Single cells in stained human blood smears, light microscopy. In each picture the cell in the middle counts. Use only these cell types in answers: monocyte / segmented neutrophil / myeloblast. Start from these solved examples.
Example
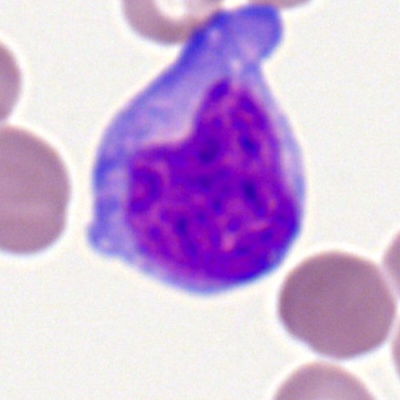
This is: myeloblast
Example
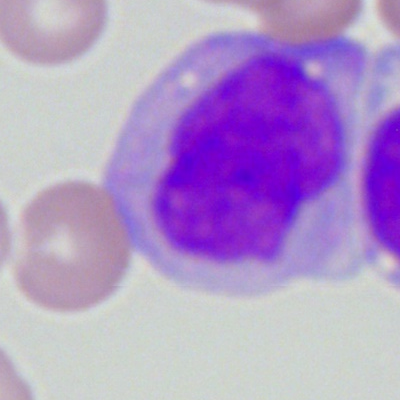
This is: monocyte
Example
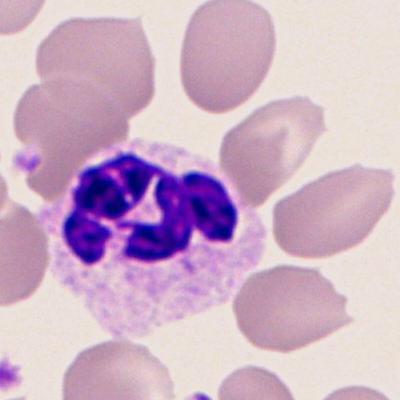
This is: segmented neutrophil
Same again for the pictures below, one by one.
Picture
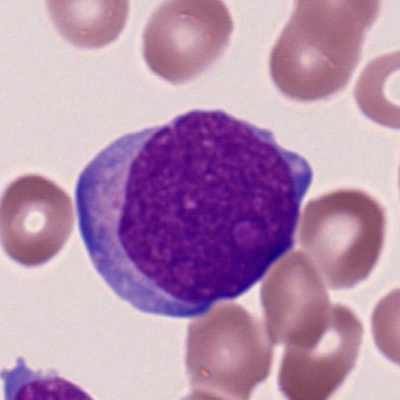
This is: myeloblast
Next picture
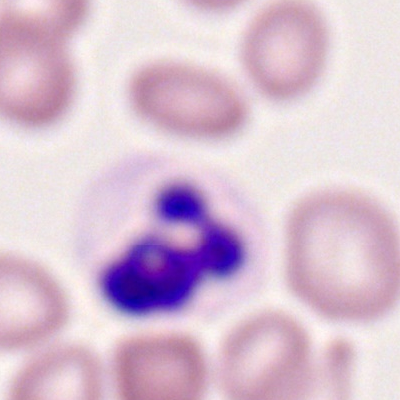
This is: segmented neutrophil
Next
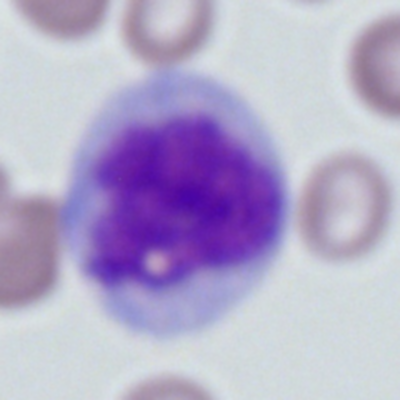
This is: monocyte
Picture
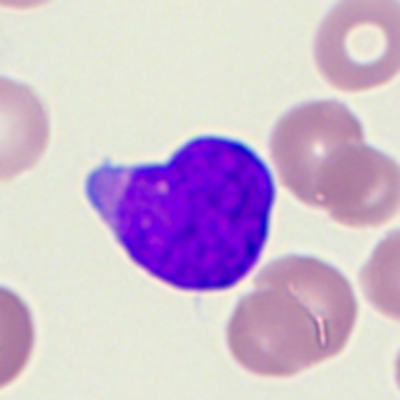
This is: myeloblast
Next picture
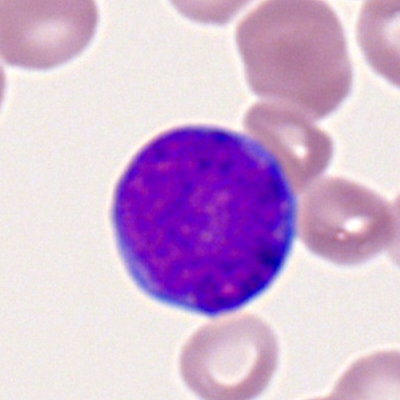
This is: myeloblast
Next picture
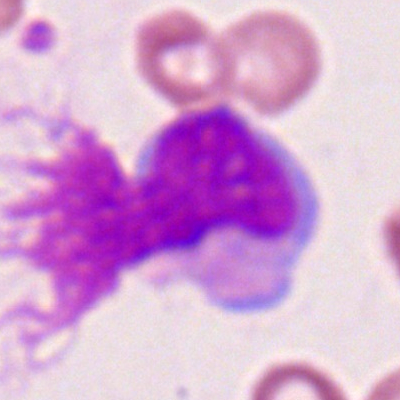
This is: monocyte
